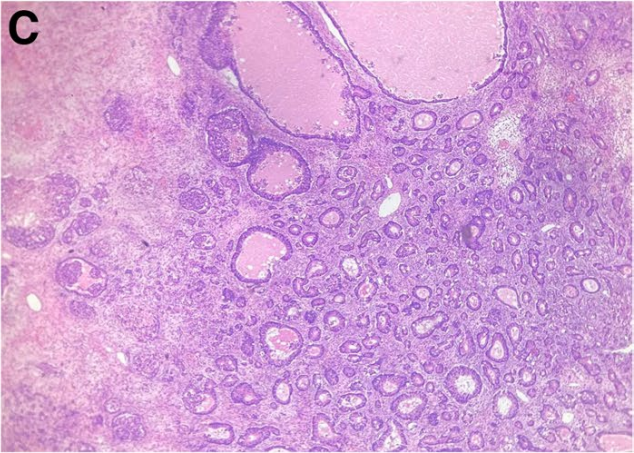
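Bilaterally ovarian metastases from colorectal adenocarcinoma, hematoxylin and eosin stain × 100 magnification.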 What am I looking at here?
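Numerous small round and oval glandular spaces lined by dark purple epithelium are packed densely within a cellular stroma, many of them holding pale pink secretion. Larger cysts filled with pink material lie at the top, and paler, less cellular pink areas flank the crowded glands at the sides.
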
